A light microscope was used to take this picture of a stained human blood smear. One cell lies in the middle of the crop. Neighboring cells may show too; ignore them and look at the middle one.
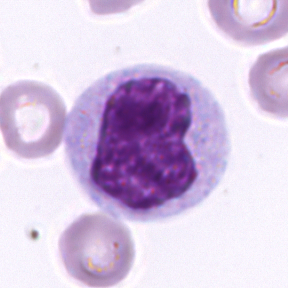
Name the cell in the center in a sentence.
The center cell of this crop is a metamyelocyte.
